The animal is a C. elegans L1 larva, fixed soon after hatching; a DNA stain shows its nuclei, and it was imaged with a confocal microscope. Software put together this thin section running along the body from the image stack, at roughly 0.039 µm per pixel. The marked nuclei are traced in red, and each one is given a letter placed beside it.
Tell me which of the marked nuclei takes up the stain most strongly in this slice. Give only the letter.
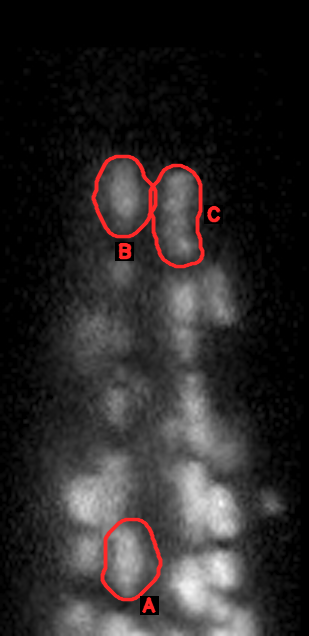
A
